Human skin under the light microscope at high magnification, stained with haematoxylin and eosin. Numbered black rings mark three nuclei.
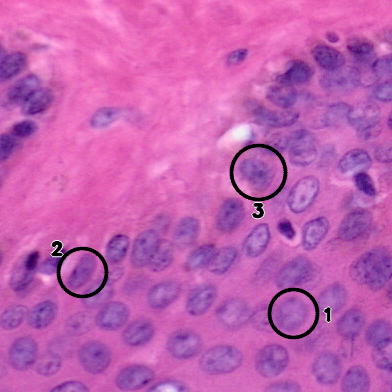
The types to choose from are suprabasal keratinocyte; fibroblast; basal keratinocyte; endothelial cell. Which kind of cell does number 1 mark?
suprabasal keratinocyte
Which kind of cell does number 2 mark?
basal keratinocyte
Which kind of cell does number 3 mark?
basal keratinocyte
